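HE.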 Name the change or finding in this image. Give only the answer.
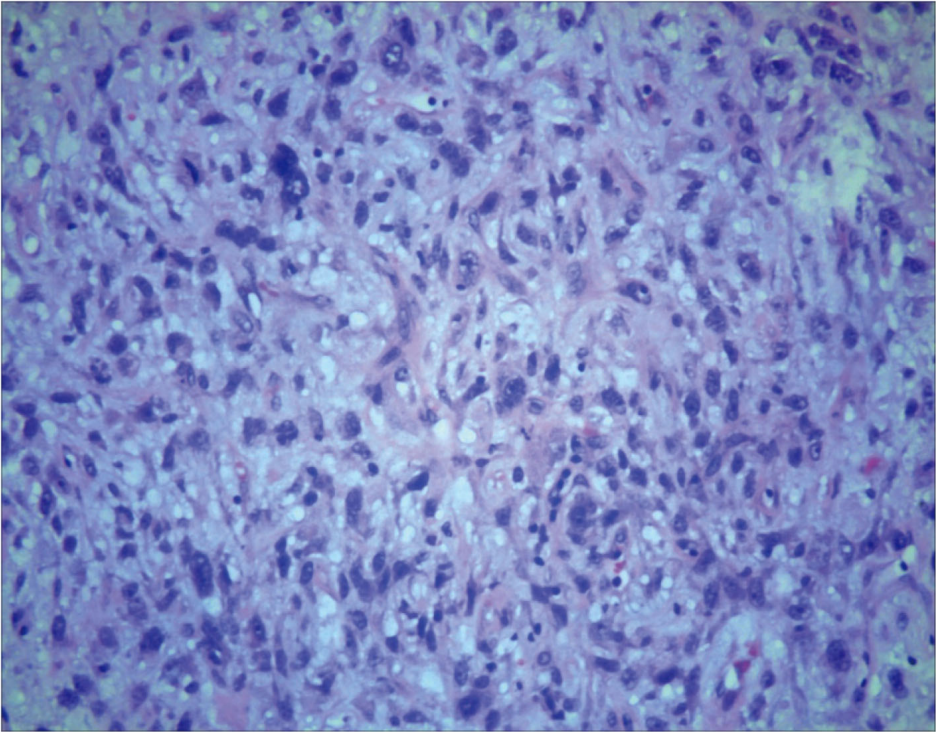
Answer: Significant pleomorphism.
